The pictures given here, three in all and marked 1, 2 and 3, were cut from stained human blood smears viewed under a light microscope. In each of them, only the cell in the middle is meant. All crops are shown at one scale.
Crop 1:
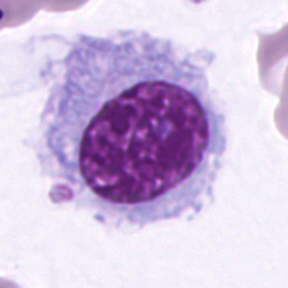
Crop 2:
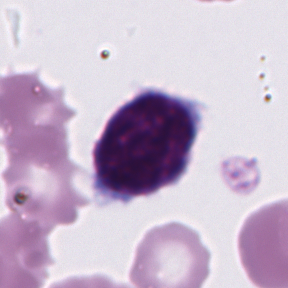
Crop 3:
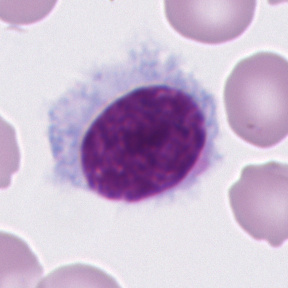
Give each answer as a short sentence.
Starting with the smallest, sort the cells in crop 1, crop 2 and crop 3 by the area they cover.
Going up, they run 2, 3, 1.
